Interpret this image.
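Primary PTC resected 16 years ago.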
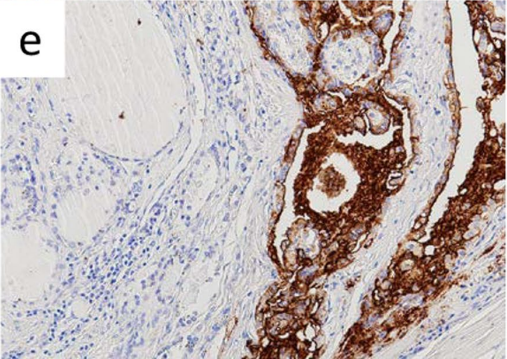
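Thyroid tissue shows normal follicles on the left and carcinoma on the right, separated by fibrous stroma. The normal follicles are lined by a single flat layer of cells with blue nuclei and no brown stain. On the right, the tumor cells form glands and nests with strong brown staining of their membranes and cytoplasm.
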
